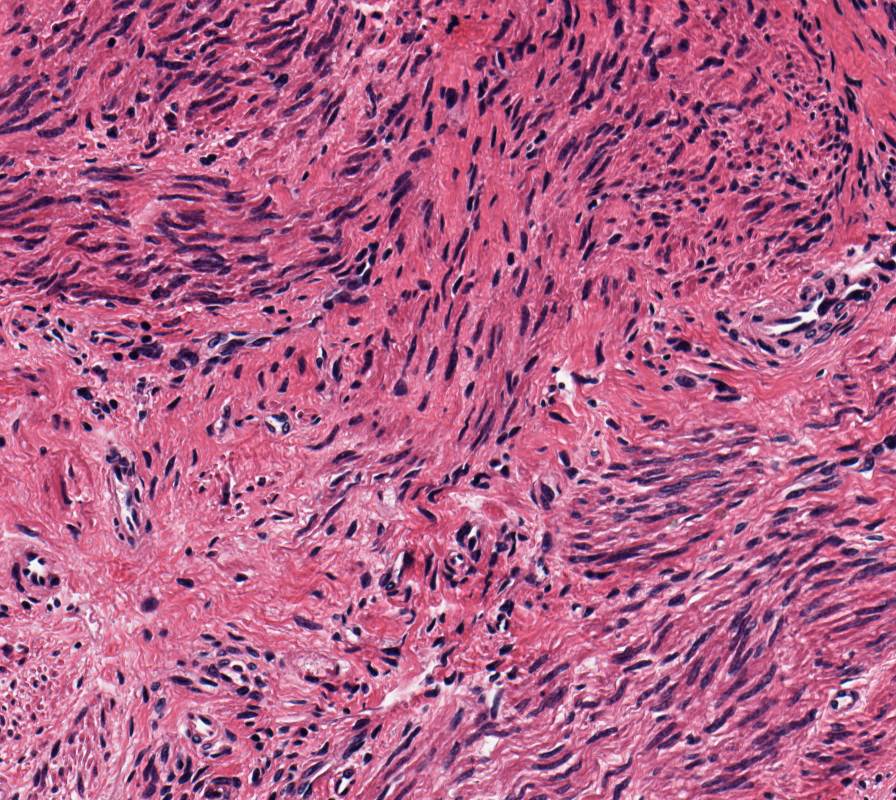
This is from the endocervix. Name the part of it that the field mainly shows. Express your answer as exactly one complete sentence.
In this tissue section, the part on display is smooth muscle.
